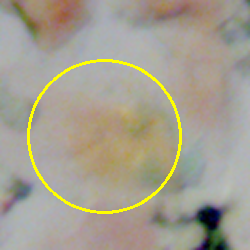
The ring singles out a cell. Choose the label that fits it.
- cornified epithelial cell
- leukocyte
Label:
cornified epithelial cell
